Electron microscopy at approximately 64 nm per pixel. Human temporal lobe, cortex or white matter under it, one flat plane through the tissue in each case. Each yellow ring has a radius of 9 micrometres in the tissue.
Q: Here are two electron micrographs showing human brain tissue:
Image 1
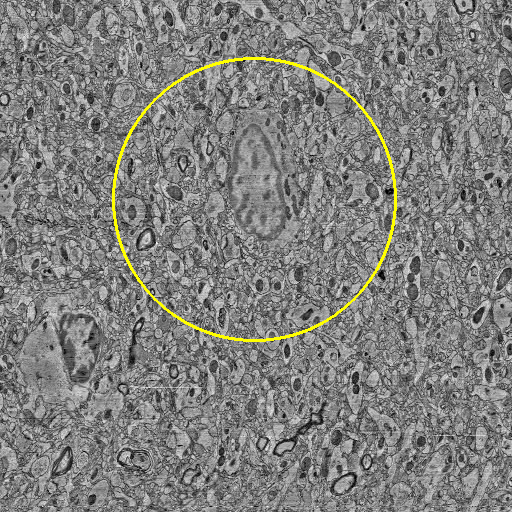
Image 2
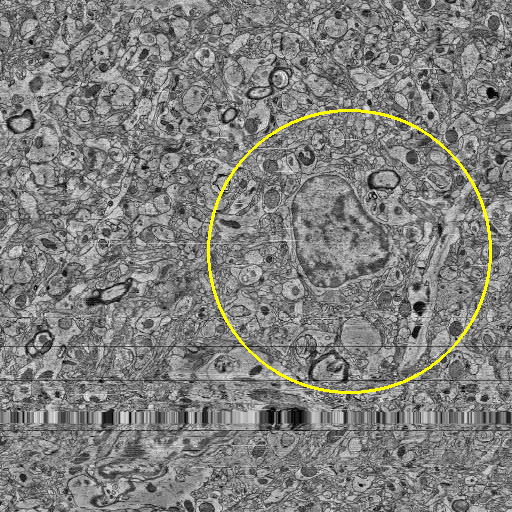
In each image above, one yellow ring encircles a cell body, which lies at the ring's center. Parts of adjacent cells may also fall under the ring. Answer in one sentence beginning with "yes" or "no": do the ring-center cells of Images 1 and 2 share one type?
No, in Images 1 and 2, the ring-center cells are of two types.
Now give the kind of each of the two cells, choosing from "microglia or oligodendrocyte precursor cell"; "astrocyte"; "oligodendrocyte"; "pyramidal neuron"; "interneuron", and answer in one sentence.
The cell in the first picture is an oligodendrocyte, and the cell in the second is a microglial cell or oligodendrocyte precursor cell.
